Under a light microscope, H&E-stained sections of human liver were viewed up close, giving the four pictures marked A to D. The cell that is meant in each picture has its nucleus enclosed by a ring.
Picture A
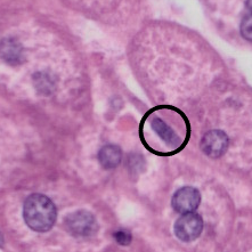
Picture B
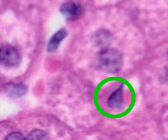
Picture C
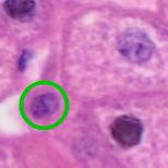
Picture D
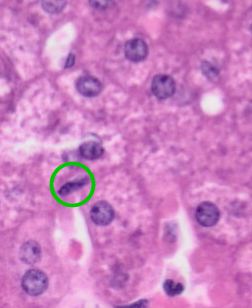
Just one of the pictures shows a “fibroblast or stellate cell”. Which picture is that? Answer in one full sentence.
The cell in picture D is the “fibroblast or stellate cell”.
